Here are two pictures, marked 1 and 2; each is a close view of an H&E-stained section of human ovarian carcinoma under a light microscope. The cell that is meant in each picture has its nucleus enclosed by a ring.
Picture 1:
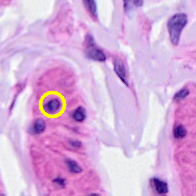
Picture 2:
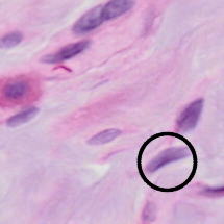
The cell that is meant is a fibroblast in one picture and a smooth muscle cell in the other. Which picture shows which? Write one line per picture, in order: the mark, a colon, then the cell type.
1: smooth muscle cell
2: fibroblast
